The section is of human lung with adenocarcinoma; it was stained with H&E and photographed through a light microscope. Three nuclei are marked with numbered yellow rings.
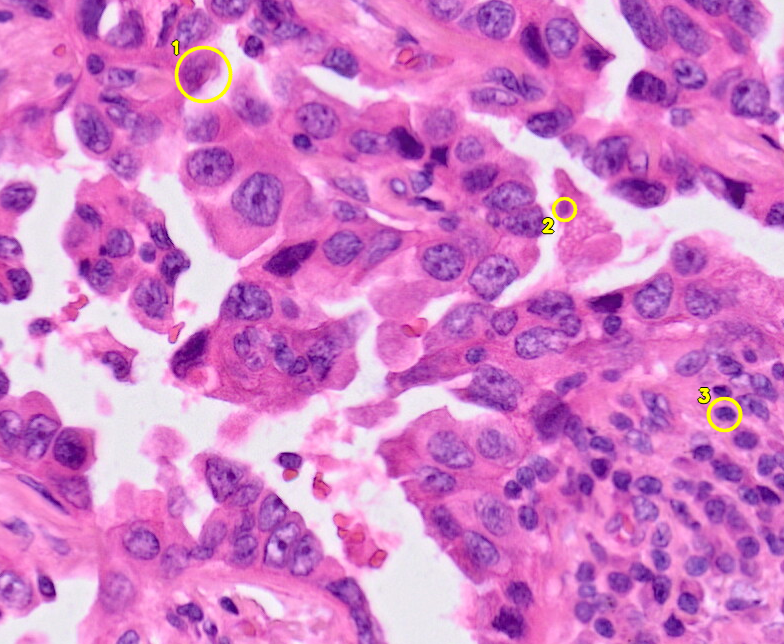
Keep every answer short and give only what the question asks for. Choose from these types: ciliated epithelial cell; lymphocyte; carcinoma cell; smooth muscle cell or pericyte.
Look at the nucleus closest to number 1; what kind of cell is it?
carcinoma cell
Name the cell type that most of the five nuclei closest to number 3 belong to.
lymphocyte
